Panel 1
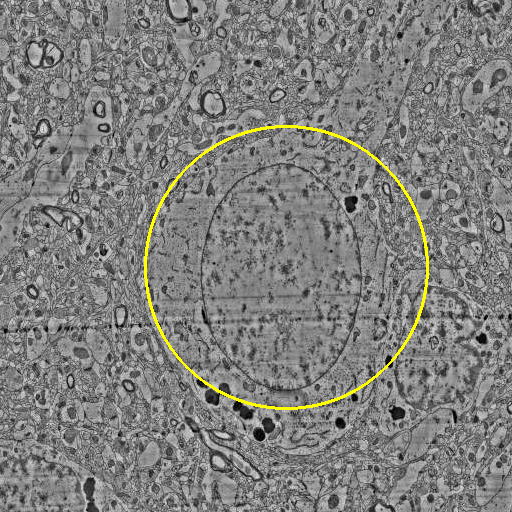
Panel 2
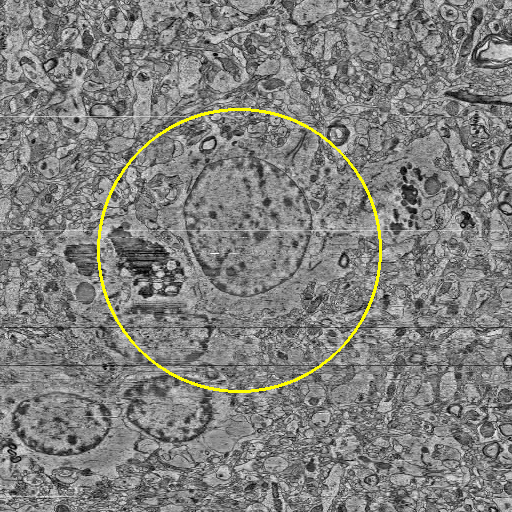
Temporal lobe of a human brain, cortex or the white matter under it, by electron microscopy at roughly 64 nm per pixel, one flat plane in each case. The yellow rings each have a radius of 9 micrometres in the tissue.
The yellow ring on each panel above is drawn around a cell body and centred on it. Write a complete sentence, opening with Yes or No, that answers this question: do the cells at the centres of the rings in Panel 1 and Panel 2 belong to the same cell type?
No, the two cells belong to two cell types.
